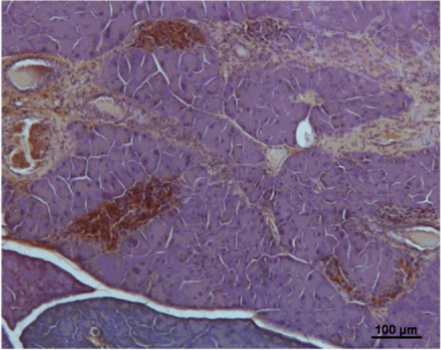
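Pancreas section in which islets stand out as compact clusters of brown-stained cells against the blue-purple counterstained exocrine acinar tissue. Several oval and elongated brown islets lie close to paler, tan interlobular connective tissue and vessels.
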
